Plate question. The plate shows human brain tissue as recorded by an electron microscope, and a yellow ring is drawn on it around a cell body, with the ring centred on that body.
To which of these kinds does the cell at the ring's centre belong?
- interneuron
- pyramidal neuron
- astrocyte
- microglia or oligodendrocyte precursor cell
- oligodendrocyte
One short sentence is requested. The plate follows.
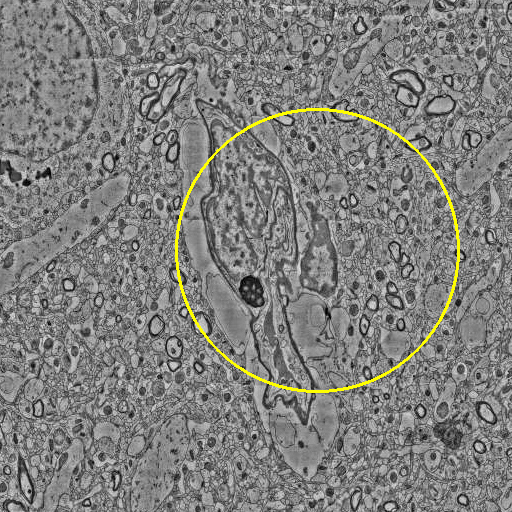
The cell at the ring's centre is a microglial cell or oligodendrocyte precursor cell.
